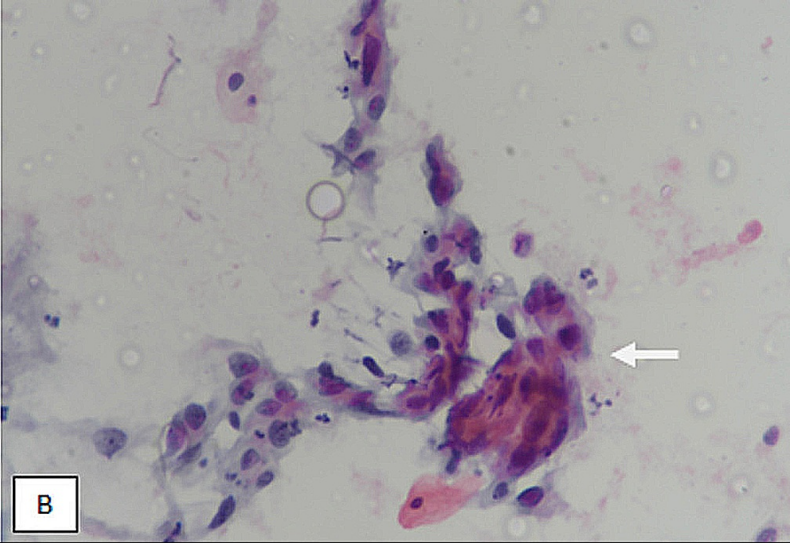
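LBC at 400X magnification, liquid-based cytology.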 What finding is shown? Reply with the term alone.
High nuclear-to-cytoplasmic ratio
